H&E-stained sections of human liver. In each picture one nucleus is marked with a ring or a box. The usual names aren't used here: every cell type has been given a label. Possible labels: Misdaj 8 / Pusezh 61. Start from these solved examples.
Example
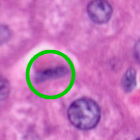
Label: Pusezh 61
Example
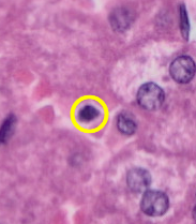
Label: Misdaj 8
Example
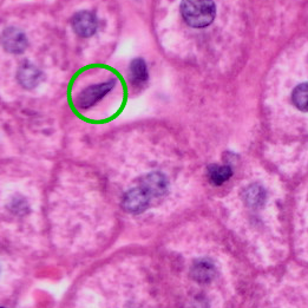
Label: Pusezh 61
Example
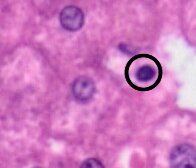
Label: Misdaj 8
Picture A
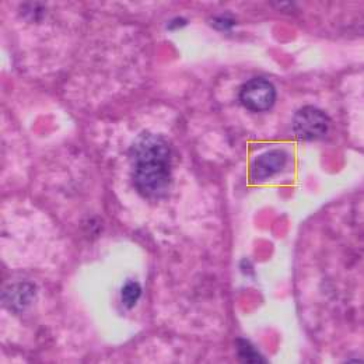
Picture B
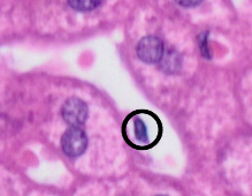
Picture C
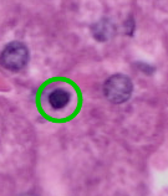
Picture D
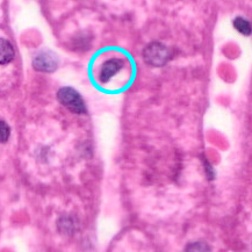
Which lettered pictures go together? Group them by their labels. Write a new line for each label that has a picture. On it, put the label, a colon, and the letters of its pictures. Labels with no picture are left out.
Misdaj 8: B, C, D
Pusezh 61: A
